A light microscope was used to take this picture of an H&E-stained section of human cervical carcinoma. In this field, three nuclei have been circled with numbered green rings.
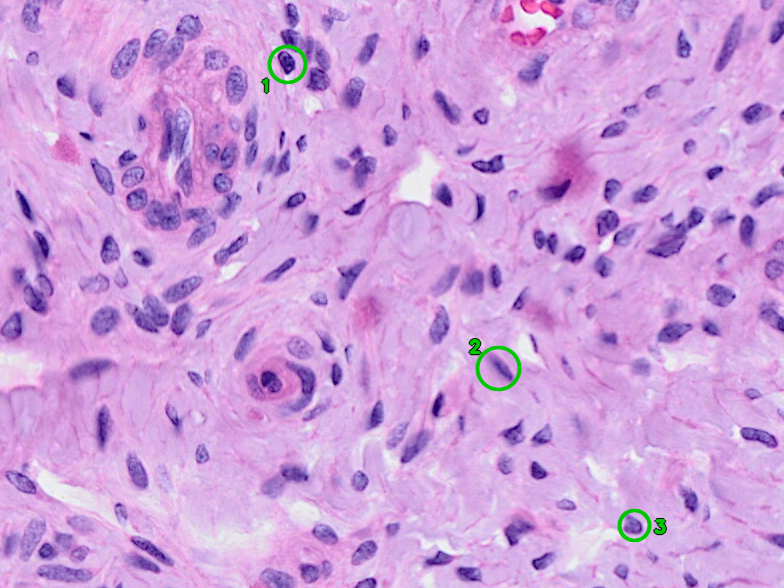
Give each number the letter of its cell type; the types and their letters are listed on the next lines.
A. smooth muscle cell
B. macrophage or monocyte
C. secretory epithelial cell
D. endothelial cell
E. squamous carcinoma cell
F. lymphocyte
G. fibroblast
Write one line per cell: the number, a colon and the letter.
1: F
2: G
3: G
